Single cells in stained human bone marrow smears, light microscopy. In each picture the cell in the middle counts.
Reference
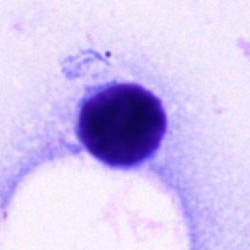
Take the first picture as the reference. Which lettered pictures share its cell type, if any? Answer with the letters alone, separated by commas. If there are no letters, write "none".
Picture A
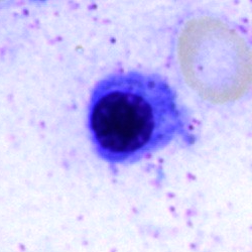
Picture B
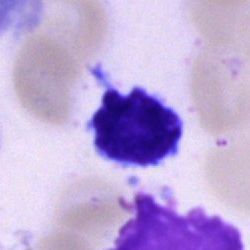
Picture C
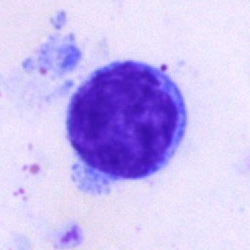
B, C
